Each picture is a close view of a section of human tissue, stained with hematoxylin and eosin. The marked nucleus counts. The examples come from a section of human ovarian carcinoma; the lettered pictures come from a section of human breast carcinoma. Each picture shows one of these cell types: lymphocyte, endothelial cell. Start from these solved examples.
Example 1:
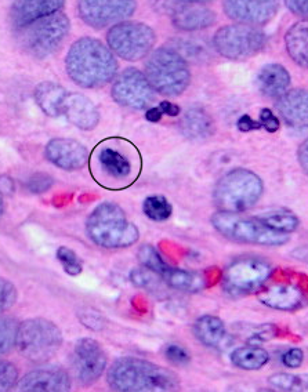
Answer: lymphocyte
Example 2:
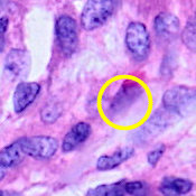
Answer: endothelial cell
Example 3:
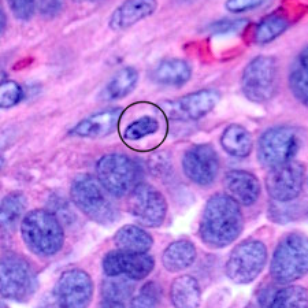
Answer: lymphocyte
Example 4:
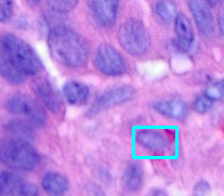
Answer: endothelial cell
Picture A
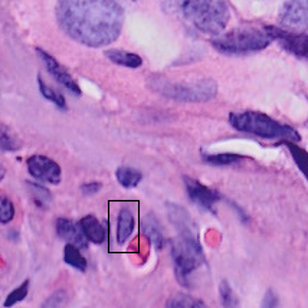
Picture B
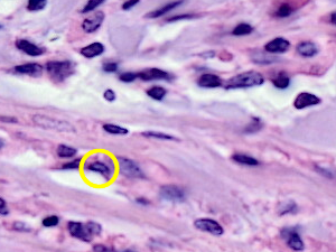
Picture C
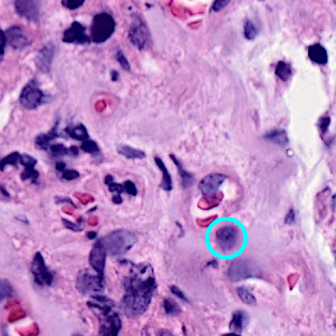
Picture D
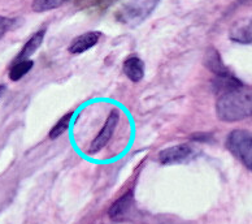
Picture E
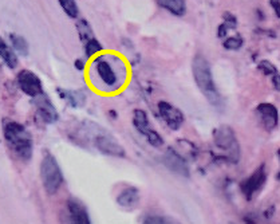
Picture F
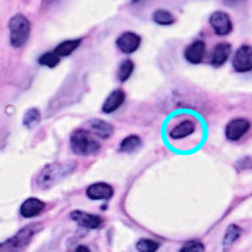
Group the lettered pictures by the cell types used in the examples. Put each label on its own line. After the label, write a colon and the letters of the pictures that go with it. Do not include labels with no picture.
lymphocyte: E, F
endothelial cell: A, B, C, D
